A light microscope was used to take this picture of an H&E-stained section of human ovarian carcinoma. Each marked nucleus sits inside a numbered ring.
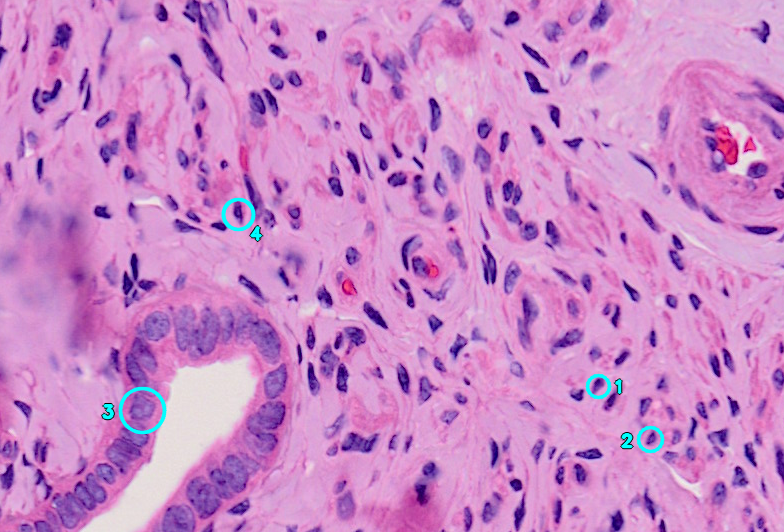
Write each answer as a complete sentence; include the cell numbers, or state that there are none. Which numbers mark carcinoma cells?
Only the nucleus marked 3 is that of a carcinoma cell.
